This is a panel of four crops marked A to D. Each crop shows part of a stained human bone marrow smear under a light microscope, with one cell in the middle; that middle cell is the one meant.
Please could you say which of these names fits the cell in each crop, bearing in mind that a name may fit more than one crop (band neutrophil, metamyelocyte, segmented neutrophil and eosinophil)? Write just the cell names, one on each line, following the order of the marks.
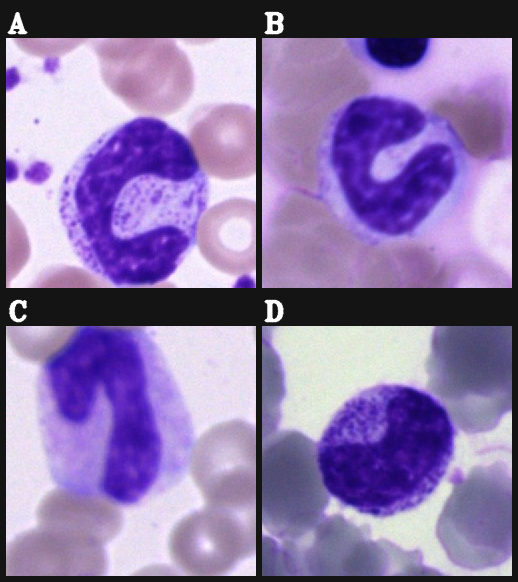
band neutrophil
band neutrophil
band neutrophil
metamyelocyte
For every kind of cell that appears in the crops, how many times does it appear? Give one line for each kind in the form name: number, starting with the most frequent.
band neutrophil: 3
metamyelocyte: 1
